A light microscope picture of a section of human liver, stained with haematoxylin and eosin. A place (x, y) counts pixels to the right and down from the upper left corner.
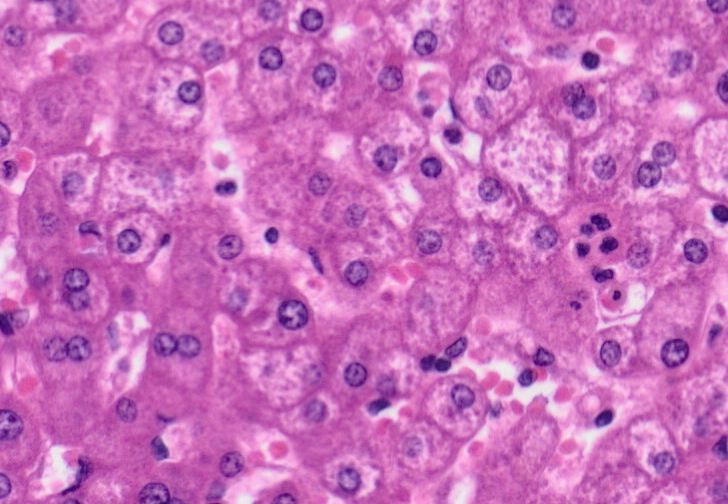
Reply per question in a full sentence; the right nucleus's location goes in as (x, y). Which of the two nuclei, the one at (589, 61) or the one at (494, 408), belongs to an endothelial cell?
The cell to which the nucleus at (494, 408) belongs is an endothelial cell.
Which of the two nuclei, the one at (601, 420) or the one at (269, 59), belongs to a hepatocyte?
Identify the nucleus at (269, 59) as the one belonging to a hepatocyte.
